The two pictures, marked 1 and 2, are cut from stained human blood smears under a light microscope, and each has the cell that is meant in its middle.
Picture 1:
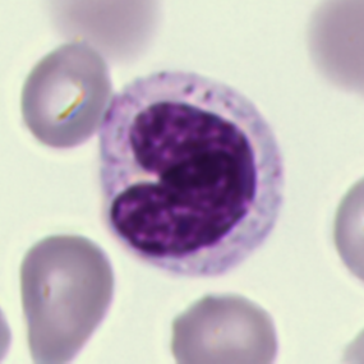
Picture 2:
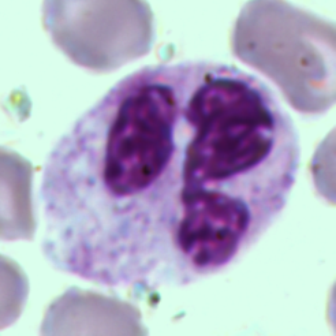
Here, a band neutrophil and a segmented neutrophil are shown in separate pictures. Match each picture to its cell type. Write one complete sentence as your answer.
In picture 1 the cell is a band neutrophil; in picture 2, a segmented neutrophil.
